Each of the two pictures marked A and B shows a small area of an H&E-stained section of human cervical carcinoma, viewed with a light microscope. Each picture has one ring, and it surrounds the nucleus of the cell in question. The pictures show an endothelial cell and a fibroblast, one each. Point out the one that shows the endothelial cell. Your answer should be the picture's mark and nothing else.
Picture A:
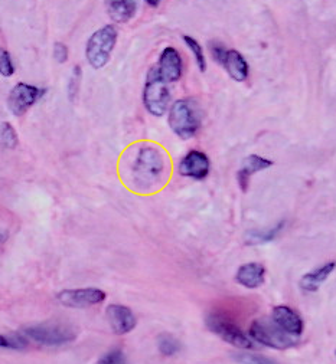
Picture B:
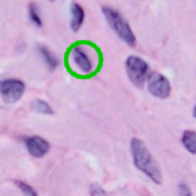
A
